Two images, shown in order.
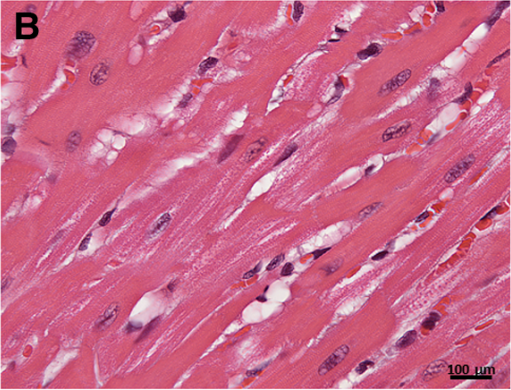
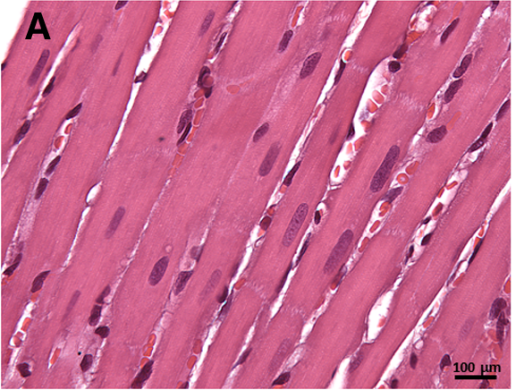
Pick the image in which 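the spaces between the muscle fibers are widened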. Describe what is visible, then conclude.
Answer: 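First image: many pale, vacuolated gaps lie between the fibers.
Conclusion: the first image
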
